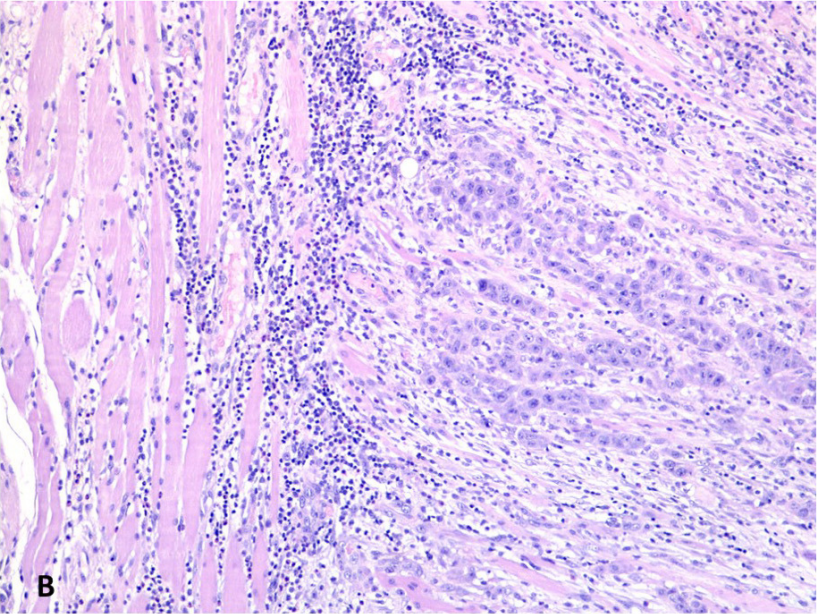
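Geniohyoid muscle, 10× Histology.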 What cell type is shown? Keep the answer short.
epithelioid cells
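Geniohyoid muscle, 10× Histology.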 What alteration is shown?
Infiltrative growth pattern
